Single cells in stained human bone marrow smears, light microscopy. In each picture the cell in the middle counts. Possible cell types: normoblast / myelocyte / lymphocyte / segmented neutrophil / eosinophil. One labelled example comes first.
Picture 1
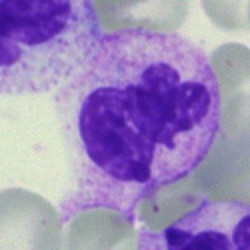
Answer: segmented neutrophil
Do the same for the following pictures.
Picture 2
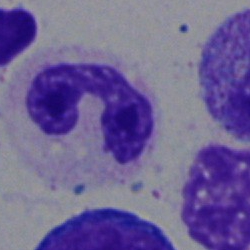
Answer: segmented neutrophil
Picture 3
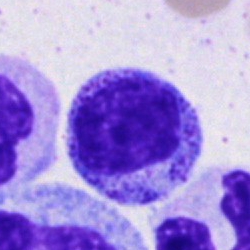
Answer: myelocyte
